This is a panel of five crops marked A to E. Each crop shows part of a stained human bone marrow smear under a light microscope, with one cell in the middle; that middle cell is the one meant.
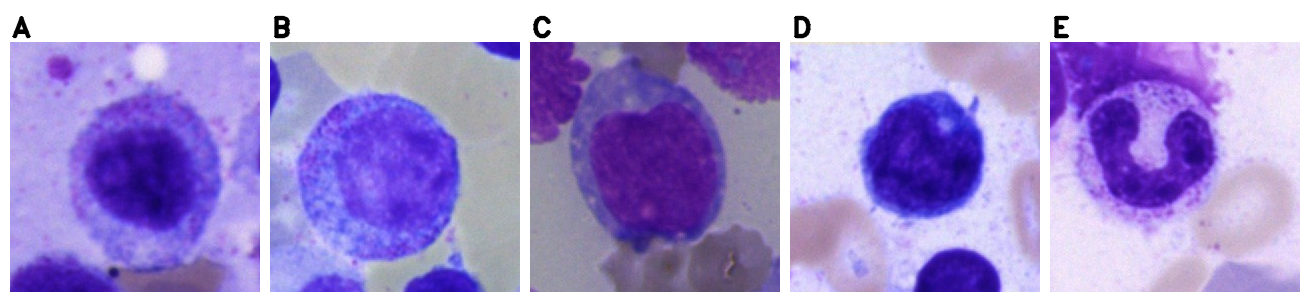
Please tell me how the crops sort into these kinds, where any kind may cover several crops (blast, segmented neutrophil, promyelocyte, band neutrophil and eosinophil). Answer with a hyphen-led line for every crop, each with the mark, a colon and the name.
- A: promyelocyte
- B: promyelocyte
- C: blast
- D: blast
- E: band neutrophil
